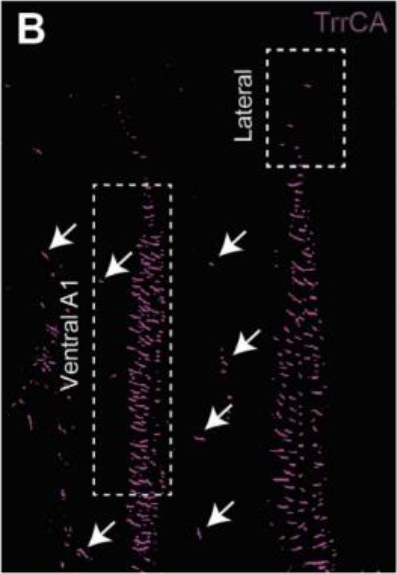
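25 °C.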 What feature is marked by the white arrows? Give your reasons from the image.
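The arrows point to single small hair-like projections lying outside the dense bands. The bands of projections are otherwise arranged in dense vertical rows. On this evidence: ectopic trichomes.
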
